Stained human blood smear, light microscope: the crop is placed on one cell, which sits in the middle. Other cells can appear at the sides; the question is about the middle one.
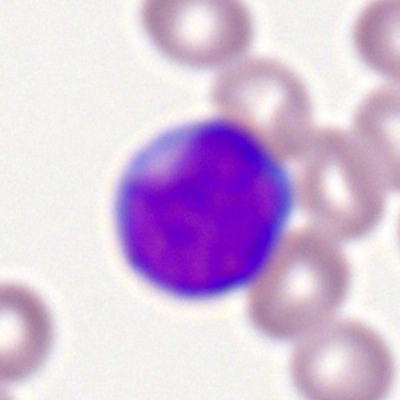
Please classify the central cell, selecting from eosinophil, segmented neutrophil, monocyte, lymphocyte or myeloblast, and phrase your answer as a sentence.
Located at the centre of the crop is a myeloblast.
